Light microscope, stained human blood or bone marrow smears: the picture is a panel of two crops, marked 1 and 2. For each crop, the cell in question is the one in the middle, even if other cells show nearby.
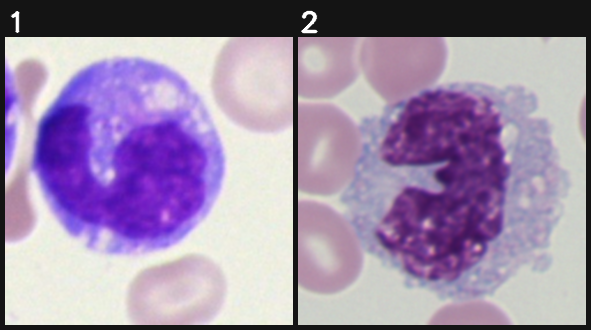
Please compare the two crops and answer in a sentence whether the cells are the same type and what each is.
Yes, both crops show a cell each, and these are monocytes.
